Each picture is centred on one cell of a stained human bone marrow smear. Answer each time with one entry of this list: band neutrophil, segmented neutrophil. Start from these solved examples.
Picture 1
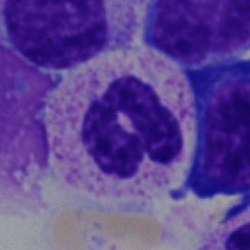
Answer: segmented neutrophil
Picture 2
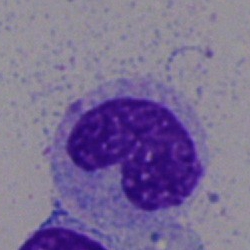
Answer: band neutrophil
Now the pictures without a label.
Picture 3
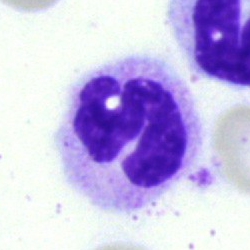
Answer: segmented neutrophil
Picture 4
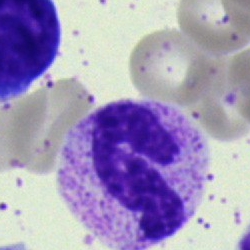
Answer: segmented neutrophil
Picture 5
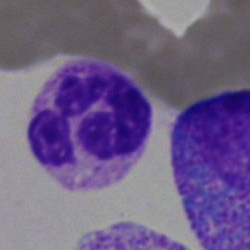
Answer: segmented neutrophil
